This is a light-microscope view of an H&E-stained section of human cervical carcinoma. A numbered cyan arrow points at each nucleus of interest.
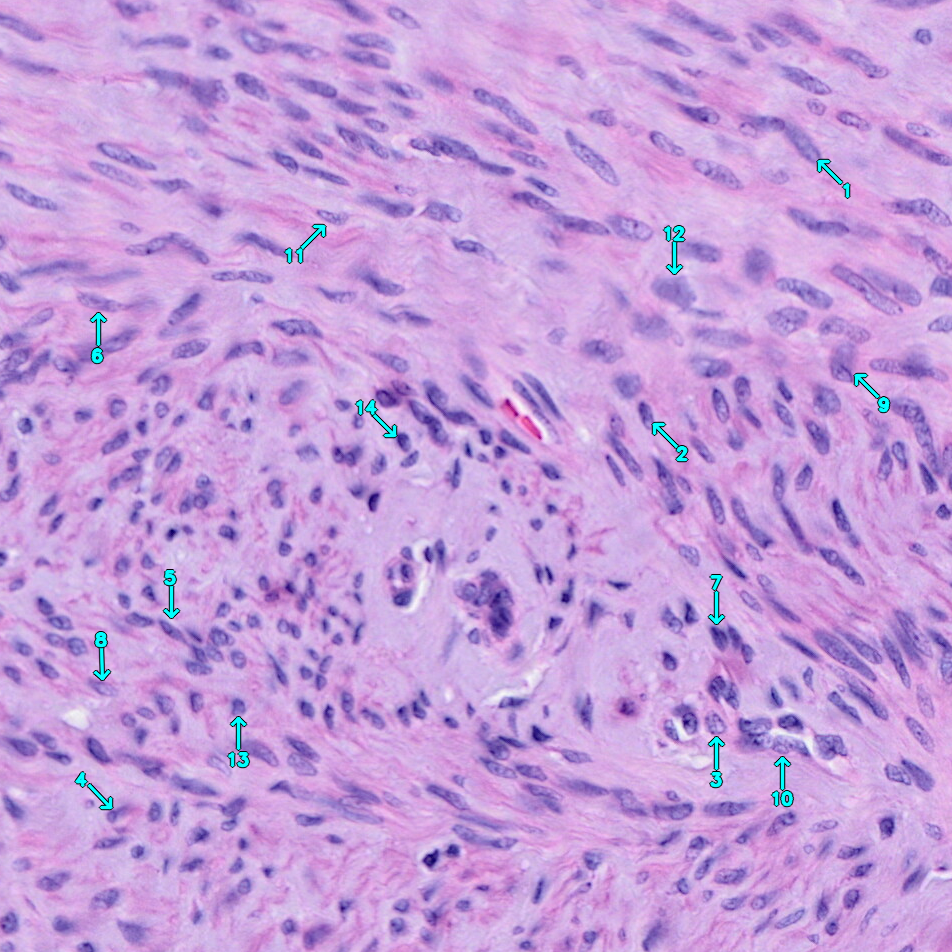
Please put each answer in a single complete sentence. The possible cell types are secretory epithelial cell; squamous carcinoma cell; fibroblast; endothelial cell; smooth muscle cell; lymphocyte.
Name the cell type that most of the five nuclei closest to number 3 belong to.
Most of the five nuclei nearest to number 3 are those of endothelial cells.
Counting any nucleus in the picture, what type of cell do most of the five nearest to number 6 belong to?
Smooth muscle cells make up most of the five nuclei closest to number 6.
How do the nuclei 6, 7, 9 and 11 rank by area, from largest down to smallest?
The nuclei rank 9, 6, 11, 7, from largest to smallest.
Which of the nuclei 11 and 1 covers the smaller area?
With nucleus 1 about 3 times its size, nucleus 11 is the smaller of the two.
